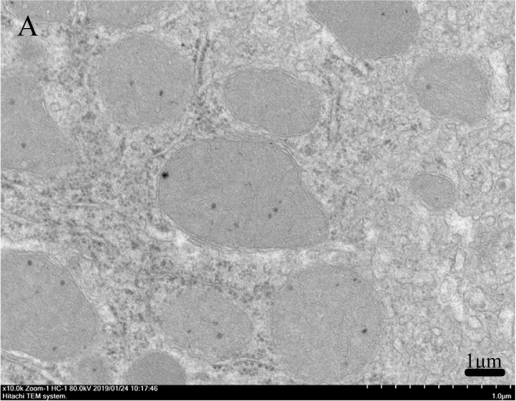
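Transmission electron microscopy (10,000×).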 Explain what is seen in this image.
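Cytoplasm containing many round to elongated oval mitochondria with smooth outlines and an even grey matrix. Between them lie stacked membranes of endoplasmic reticulum and small dense granules, with no vacuole enclosing any mitochondrion.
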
